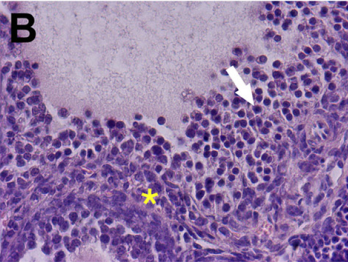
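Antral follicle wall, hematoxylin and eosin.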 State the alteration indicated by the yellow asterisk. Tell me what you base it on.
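Disruption of the basement membrane. The asterisk lies at the outer edge of the granulosa cell mass where no sharp boundary to the surrounding layer is visible. Granulosa cells appear to mix with the elongated outer wall cells at this spot.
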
